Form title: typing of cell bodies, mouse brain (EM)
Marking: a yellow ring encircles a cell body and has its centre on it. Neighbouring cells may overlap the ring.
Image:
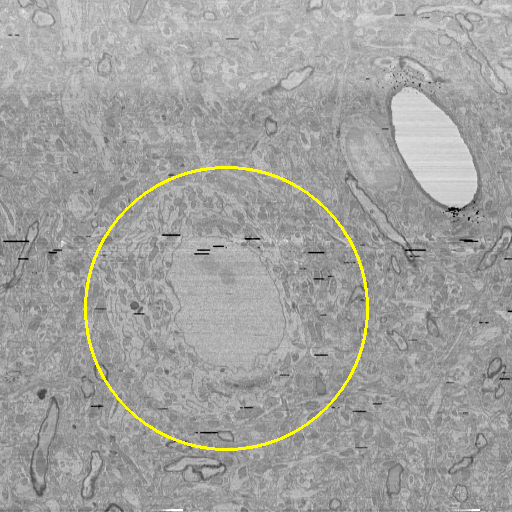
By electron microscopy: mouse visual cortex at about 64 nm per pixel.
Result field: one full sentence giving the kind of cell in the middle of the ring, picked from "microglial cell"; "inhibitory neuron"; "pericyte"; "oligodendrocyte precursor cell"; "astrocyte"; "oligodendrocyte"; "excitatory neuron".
In the picture, the ring is centred on an inhibitory neuron, whose cell body it encircles.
